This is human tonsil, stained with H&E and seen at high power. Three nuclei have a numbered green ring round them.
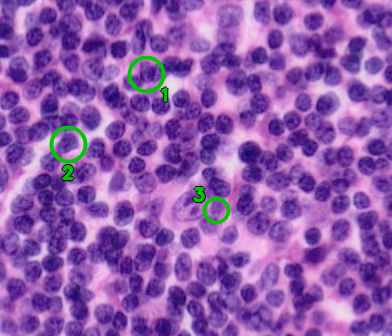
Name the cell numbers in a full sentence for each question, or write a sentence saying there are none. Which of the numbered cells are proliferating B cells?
The numbered cells include exactly one that is a proliferating B cell, which is cell 3.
